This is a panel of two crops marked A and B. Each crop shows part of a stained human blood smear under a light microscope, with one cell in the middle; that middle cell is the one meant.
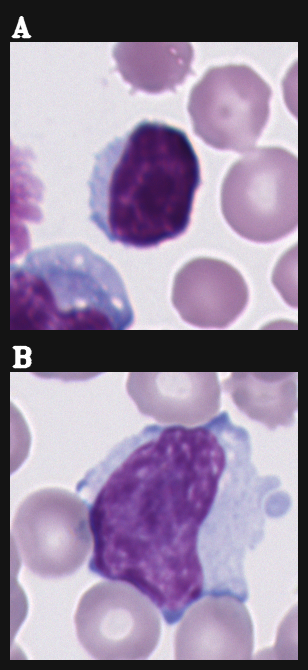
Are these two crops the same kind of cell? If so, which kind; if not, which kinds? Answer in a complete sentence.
No, a myeloblast is in crop B, and a typical lymphocyte is in crop A.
